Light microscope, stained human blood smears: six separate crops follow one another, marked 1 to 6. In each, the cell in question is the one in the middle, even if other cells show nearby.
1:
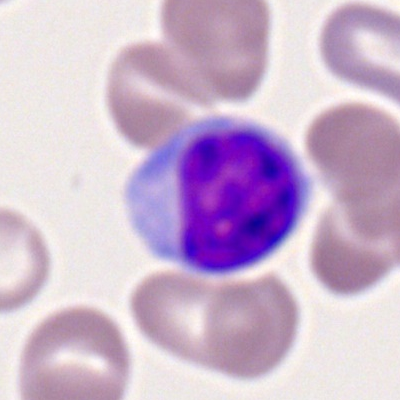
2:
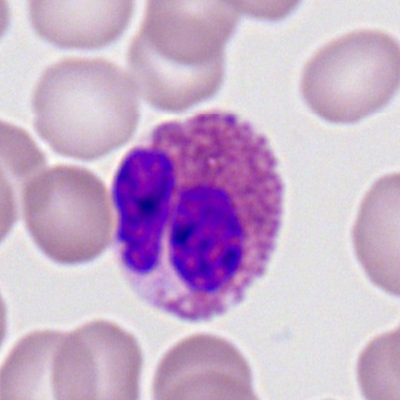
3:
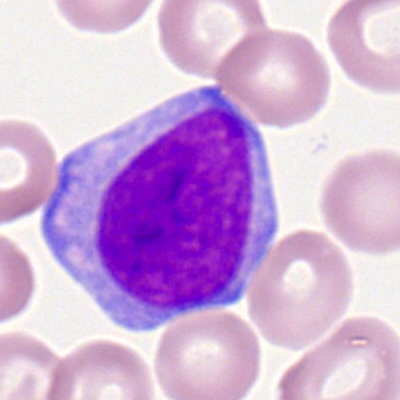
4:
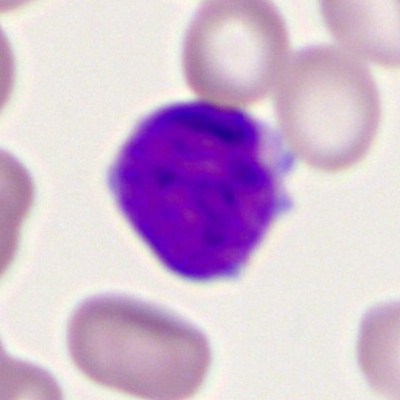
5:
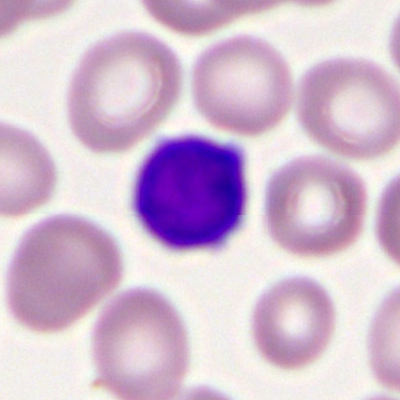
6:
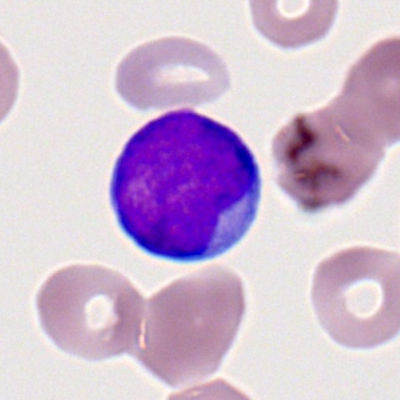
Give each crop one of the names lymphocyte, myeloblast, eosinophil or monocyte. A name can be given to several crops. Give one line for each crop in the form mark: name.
1: lymphocyte
2: eosinophil
3: myeloblast
4: myeloblast
5: lymphocyte
6: myeloblast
